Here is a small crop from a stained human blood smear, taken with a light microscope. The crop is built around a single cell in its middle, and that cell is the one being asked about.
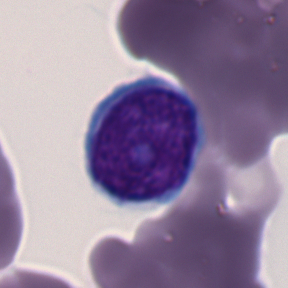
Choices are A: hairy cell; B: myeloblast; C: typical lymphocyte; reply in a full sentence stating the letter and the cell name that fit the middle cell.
Correctly, option C names the cell in the middle a typical lymphocyte.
